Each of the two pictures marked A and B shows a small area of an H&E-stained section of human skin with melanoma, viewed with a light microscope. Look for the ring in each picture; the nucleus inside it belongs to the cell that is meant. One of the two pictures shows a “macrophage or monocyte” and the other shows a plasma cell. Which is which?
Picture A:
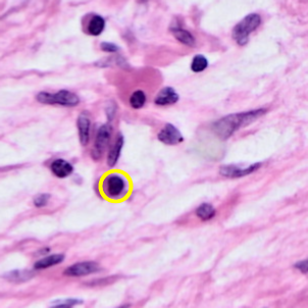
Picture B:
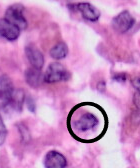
A: plasma cell
B: macrophage or monocyte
